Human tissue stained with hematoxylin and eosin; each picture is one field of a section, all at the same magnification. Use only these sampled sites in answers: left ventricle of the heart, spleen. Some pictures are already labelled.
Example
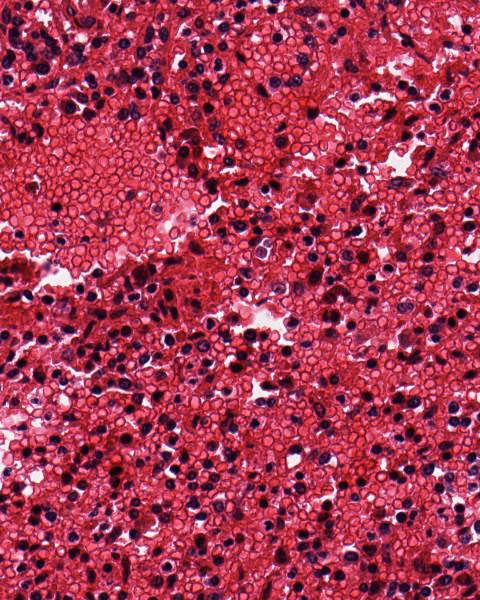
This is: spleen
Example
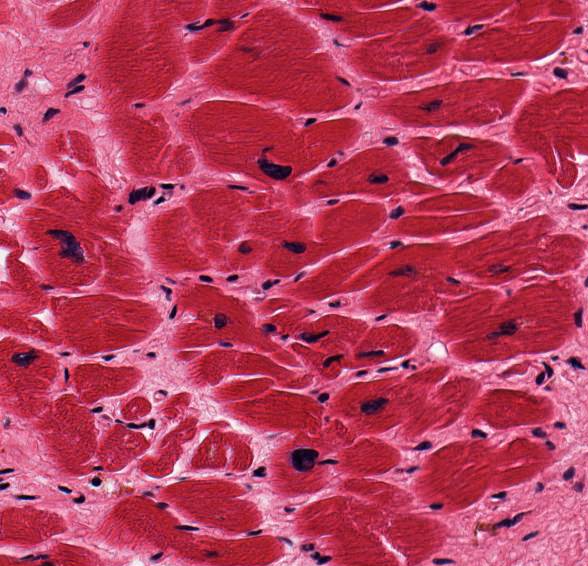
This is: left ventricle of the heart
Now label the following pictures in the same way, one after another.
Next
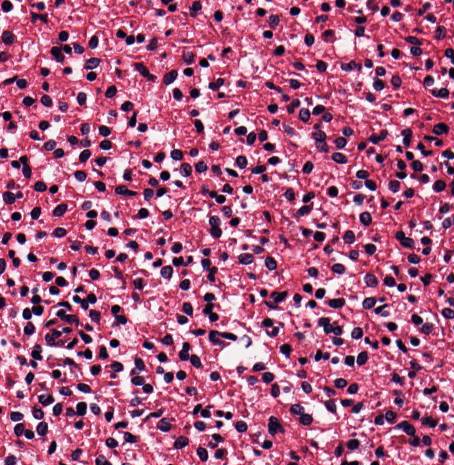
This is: spleen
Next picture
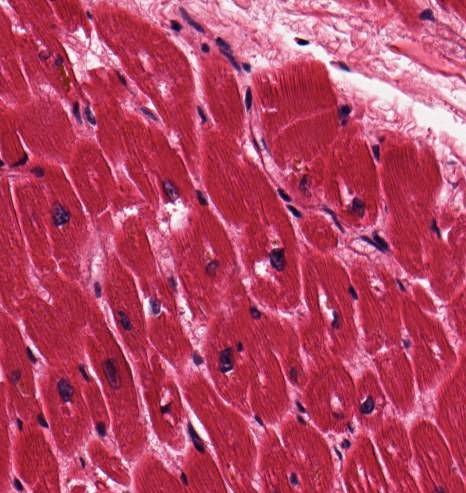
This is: left ventricle of the heart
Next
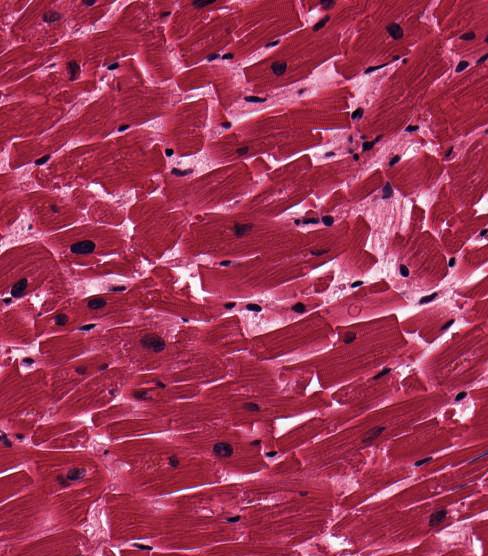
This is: left ventricle of the heart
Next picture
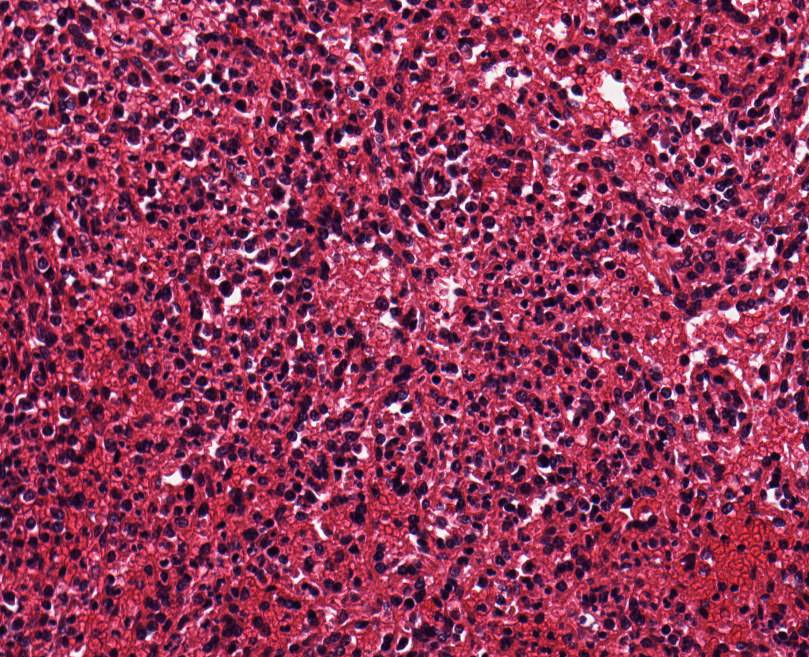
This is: spleen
